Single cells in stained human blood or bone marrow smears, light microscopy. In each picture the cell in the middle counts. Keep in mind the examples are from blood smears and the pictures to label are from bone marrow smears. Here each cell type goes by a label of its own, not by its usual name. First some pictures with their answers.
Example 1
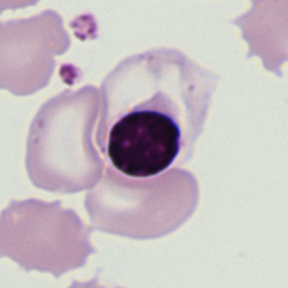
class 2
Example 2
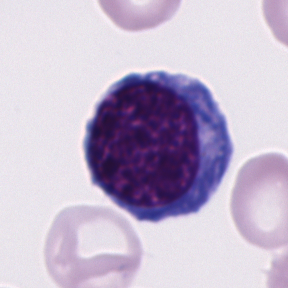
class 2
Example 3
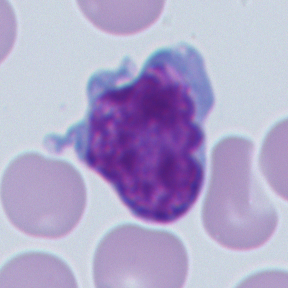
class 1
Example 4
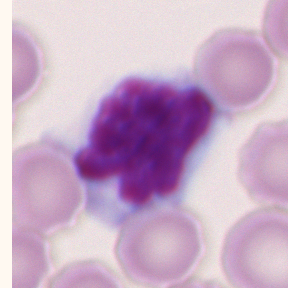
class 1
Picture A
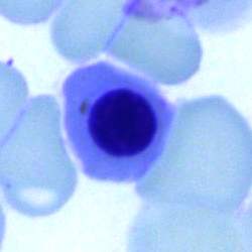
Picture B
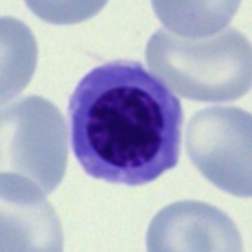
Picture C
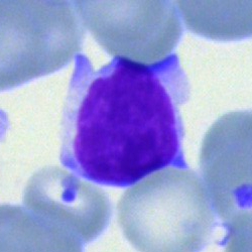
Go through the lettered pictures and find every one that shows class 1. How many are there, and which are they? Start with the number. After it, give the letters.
Count: 1 (C)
